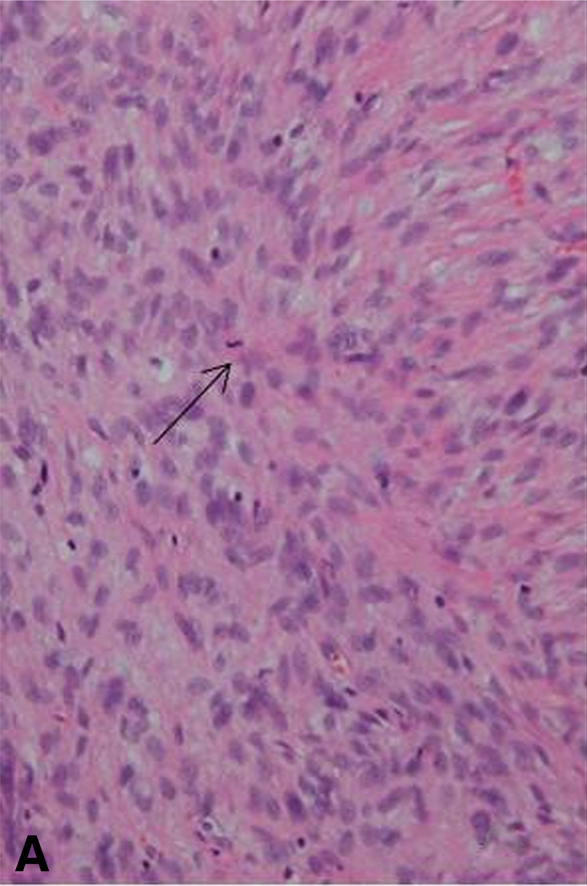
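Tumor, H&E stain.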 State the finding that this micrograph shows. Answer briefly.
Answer: high cellularity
